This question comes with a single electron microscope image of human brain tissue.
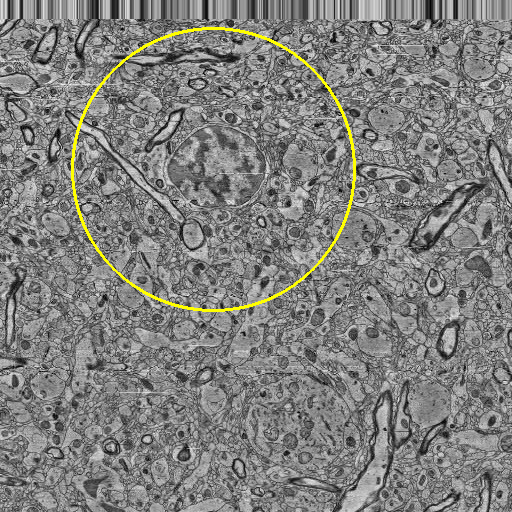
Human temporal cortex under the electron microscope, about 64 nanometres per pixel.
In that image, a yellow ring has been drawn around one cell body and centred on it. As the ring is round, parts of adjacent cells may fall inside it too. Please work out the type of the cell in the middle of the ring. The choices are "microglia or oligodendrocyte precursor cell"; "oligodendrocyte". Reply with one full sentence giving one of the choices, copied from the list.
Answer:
Of the choices, a microglial cell or oligodendrocyte precursor cell is the cell sitting in the middle of the ring.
